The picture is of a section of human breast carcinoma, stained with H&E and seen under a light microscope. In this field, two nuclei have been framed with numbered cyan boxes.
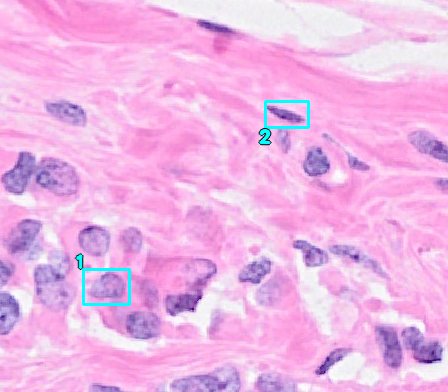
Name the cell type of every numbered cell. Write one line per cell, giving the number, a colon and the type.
1: carcinoma cell
2: fibroblast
